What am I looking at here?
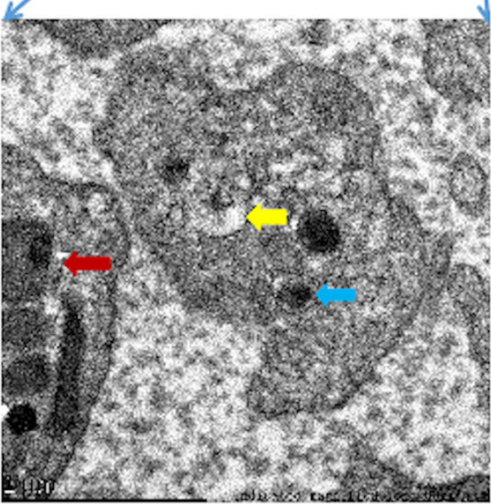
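A thin section through platelets lying in a loose, finely mottled background. The central cell has an irregular, lobed outline, no nucleus and an evenly grey, finely granular cytoplasm. Within it lie a pale, rounded, membrane-bound clear space, a single round dark granule and, nearby, a smaller dark body with an irregular outline. Few granules are present compared with a typical platelet. At the left edge part of a neighbouring cell is cut, containing an elongated dark body and other dark inclusions.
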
